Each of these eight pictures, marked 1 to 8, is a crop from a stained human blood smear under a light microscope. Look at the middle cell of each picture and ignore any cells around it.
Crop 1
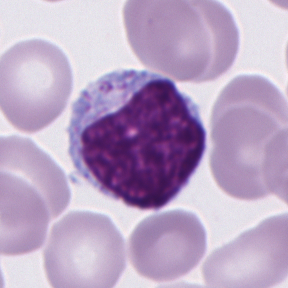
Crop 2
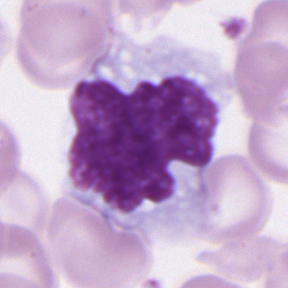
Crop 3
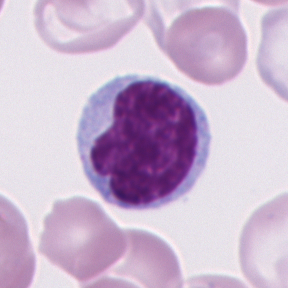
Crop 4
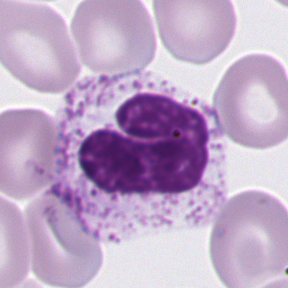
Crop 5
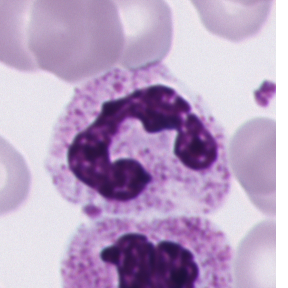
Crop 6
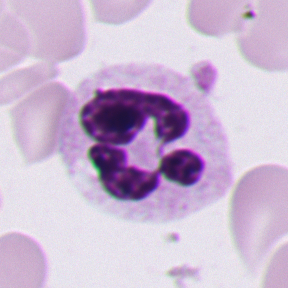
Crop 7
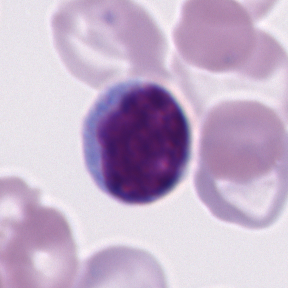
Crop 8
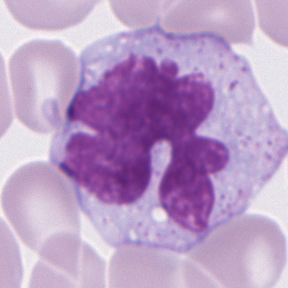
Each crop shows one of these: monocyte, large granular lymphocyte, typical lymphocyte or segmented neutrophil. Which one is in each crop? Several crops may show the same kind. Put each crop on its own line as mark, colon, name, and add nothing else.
1: large granular lymphocyte
2: monocyte
3: typical lymphocyte
4: segmented neutrophil
5: segmented neutrophil
6: segmented neutrophil
7: typical lymphocyte
8: monocyte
